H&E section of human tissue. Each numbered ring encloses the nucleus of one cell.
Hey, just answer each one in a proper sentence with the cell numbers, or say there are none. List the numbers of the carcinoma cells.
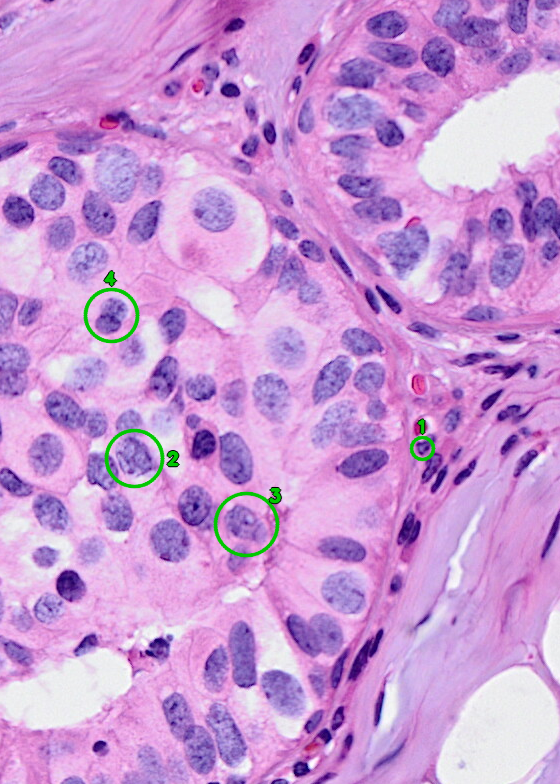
The cells tagged with numbers 2, 3 and 4 are carcinoma cells.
